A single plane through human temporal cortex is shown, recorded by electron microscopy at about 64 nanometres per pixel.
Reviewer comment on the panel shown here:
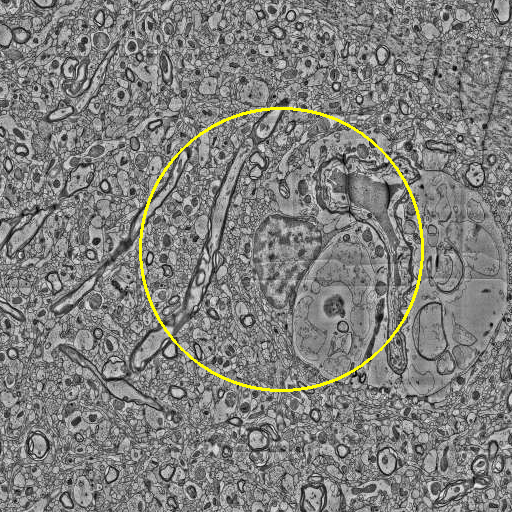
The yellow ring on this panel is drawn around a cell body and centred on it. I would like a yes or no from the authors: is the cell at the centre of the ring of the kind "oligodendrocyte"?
yes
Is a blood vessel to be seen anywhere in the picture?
Yes, one appears.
